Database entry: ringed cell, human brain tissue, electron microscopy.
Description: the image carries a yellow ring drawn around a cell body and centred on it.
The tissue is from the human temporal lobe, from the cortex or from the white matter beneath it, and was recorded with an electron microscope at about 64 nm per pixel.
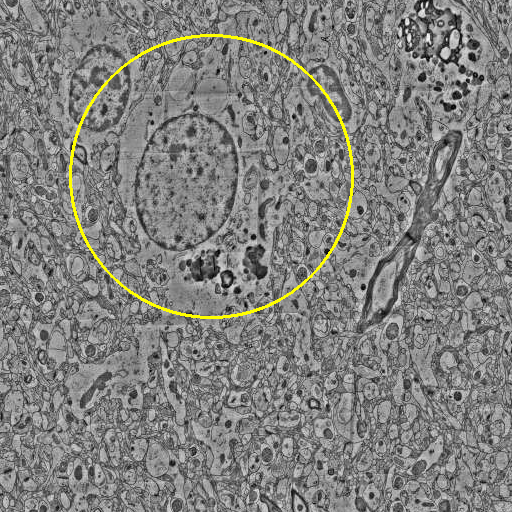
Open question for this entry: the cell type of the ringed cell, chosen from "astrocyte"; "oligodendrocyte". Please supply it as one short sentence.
The ringed cell is an astrocyte.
